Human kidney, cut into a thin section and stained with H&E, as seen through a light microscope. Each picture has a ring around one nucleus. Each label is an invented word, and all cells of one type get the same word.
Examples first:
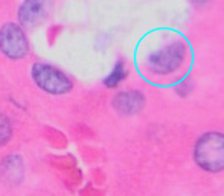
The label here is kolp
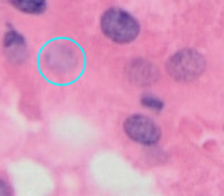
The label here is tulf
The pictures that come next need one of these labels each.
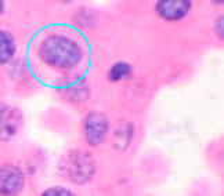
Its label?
kolp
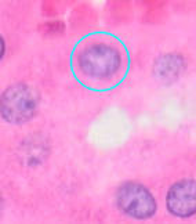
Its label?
tulf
